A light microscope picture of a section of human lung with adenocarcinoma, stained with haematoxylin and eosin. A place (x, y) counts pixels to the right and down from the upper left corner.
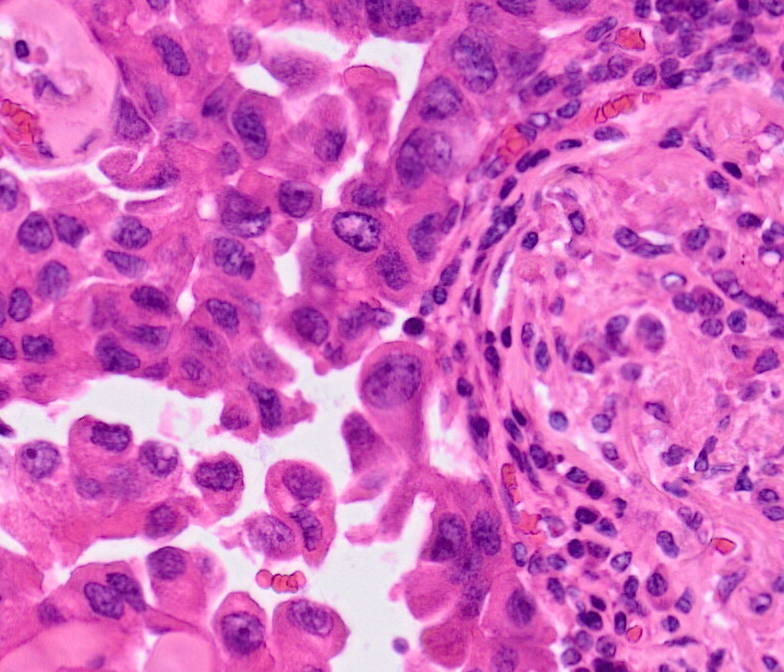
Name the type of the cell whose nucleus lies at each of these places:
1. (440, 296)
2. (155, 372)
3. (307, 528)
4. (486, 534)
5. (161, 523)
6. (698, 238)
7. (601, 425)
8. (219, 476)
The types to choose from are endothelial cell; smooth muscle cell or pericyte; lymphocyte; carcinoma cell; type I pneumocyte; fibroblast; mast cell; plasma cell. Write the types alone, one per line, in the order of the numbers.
lymphocyte
carcinoma cell
carcinoma cell
carcinoma cell
carcinoma cell
plasma cell
lymphocyte
carcinoma cell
